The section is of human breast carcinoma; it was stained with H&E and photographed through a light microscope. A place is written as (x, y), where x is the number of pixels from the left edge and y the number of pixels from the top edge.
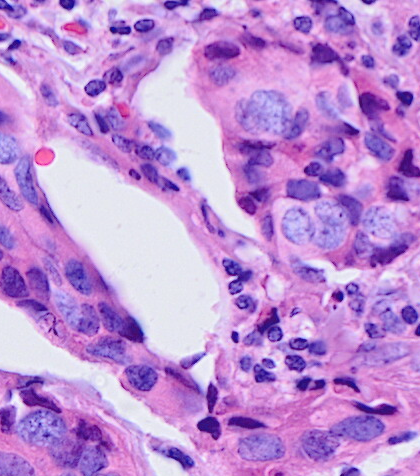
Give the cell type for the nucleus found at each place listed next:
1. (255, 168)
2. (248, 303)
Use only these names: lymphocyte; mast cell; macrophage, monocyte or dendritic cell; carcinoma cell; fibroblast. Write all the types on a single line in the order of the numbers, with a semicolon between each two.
carcinoma cell; lymphocyte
